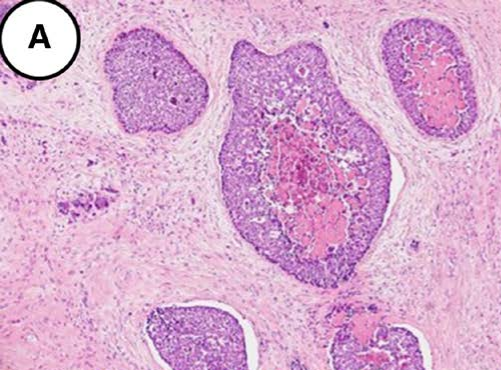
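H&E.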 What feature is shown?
large nests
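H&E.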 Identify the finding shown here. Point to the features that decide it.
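The tumor nests have pink, acellular eosinophilic material in their centres. Viable basophilic cells form a rim around the pink centres. The answer: central necrosis.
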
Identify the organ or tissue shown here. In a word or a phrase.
Fibrotic stroma.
